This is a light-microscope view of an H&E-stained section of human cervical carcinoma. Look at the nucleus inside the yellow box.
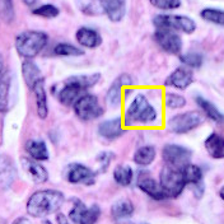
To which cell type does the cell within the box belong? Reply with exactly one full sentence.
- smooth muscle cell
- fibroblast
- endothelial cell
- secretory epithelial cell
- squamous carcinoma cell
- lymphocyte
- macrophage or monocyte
In cellular terms, the cell within the box is a lymphocyte.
